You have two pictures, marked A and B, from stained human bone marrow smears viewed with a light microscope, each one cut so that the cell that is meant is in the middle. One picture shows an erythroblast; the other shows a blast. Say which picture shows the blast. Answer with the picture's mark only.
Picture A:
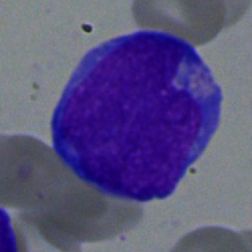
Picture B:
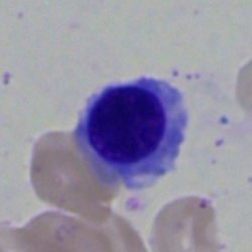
A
